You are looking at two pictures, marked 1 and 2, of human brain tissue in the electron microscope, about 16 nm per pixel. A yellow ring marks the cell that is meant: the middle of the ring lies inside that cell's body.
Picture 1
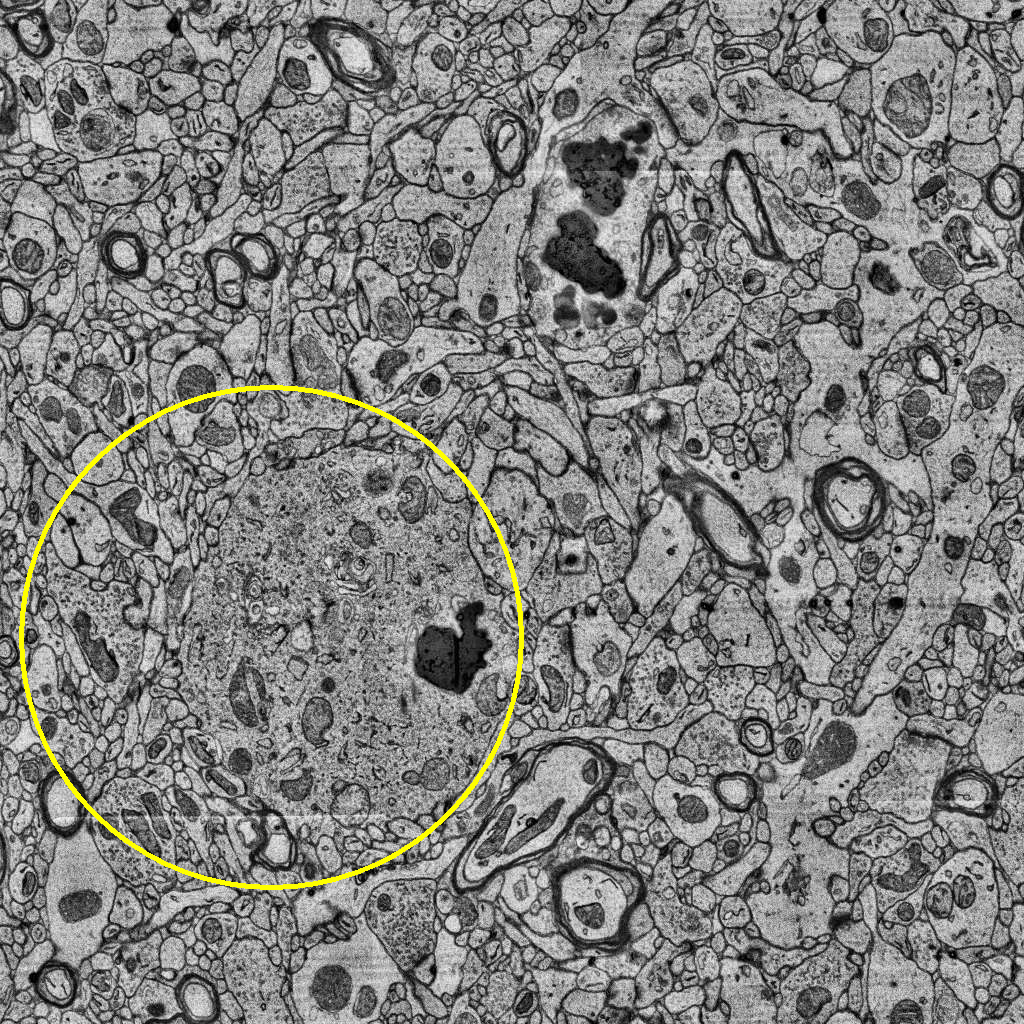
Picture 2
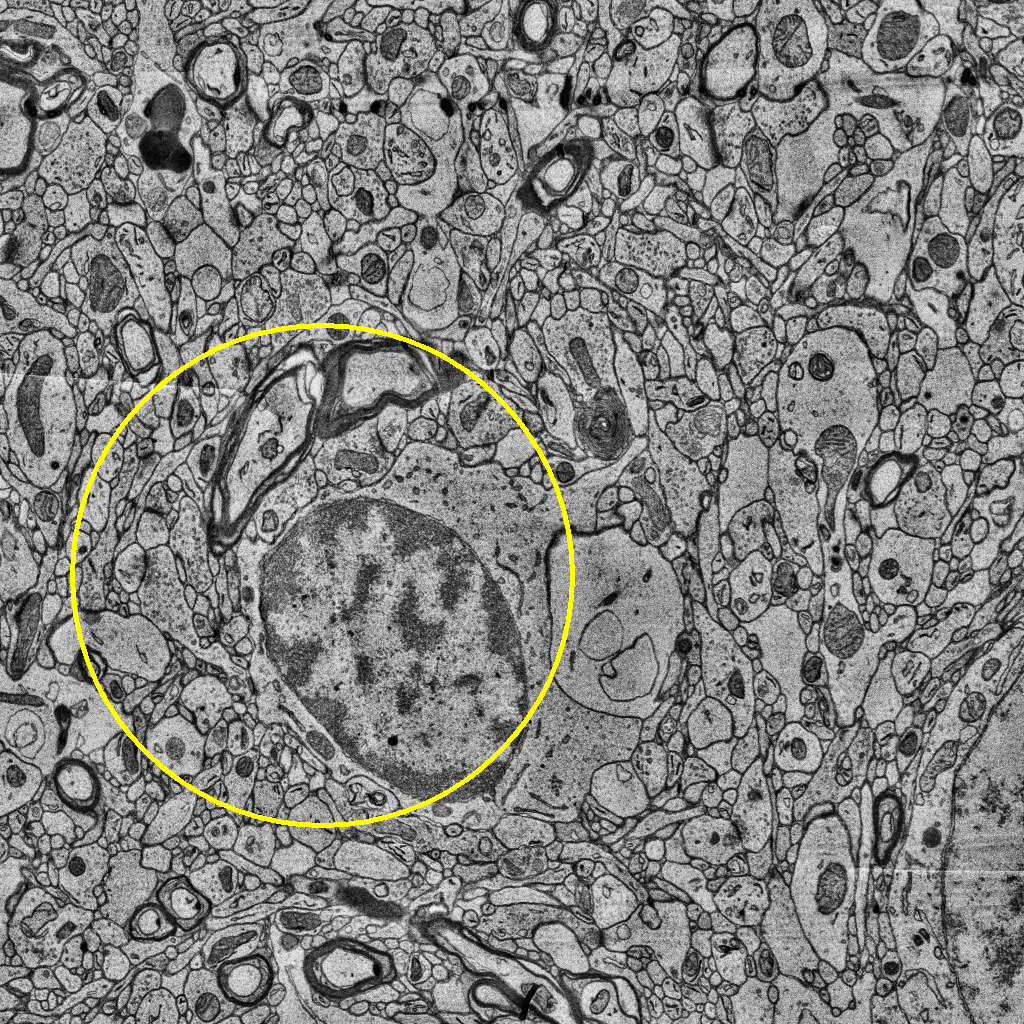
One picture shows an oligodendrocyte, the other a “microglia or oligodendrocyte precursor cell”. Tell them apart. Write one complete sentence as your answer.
In picture 1 the cell is an oligodendrocyte; in picture 2, a “microglia or oligodendrocyte precursor cell”.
